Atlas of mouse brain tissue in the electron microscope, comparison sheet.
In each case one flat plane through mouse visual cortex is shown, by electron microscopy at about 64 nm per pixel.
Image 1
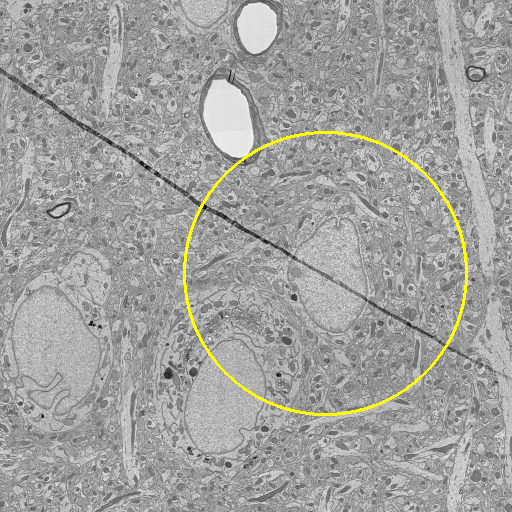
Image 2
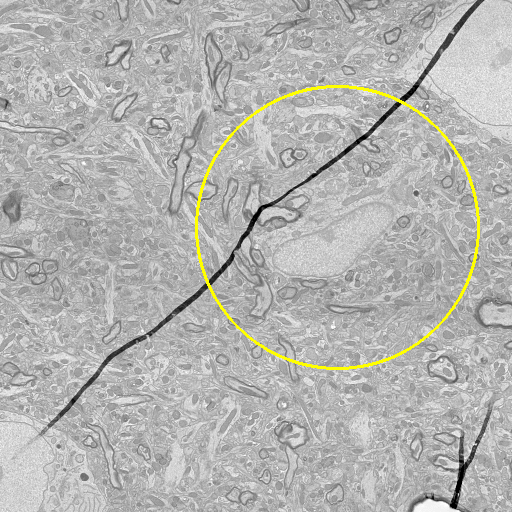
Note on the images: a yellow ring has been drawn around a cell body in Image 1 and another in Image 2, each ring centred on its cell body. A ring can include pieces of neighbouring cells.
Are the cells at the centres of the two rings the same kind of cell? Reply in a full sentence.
Yes, both cells are of the same kind.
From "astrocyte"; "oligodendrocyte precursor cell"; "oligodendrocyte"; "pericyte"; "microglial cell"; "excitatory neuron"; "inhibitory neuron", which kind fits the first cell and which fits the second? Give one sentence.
The first and the second cell are each an astrocyte.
